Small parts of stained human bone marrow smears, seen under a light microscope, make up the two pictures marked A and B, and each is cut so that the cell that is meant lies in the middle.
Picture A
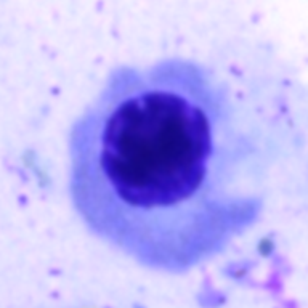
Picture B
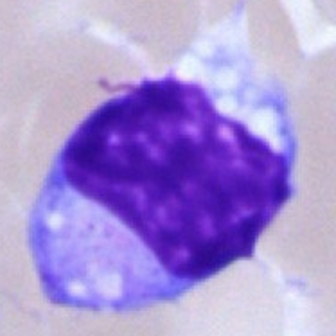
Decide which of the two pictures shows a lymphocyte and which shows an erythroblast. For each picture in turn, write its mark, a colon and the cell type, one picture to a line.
A: erythroblast
B: lymphocyte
